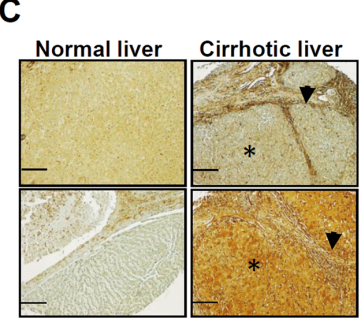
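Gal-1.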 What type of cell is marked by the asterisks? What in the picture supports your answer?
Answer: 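The asterisks lie within broad areas of densely packed cells between the fibrous bands. So: parenchymal cells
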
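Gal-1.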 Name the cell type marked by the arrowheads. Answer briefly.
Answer: non-parenchymal cells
